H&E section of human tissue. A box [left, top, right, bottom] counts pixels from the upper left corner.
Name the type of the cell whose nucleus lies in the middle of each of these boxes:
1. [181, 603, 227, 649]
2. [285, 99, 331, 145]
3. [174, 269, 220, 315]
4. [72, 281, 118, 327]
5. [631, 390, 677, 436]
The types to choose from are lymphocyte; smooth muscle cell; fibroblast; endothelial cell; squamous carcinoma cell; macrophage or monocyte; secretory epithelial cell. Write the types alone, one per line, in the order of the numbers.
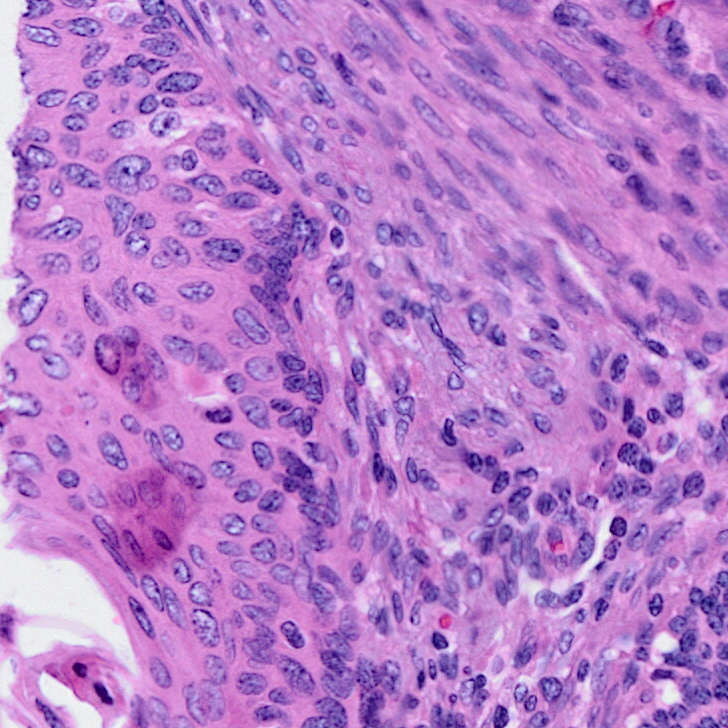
squamous carcinoma cell
smooth muscle cell
squamous carcinoma cell
squamous carcinoma cell
lymphocyte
